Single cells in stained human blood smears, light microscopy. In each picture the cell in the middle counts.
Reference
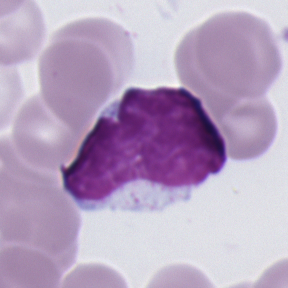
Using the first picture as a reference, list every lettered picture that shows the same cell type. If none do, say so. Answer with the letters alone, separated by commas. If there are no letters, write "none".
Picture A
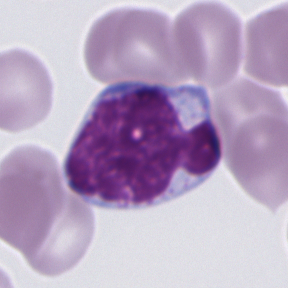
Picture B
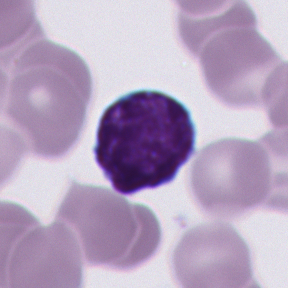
A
